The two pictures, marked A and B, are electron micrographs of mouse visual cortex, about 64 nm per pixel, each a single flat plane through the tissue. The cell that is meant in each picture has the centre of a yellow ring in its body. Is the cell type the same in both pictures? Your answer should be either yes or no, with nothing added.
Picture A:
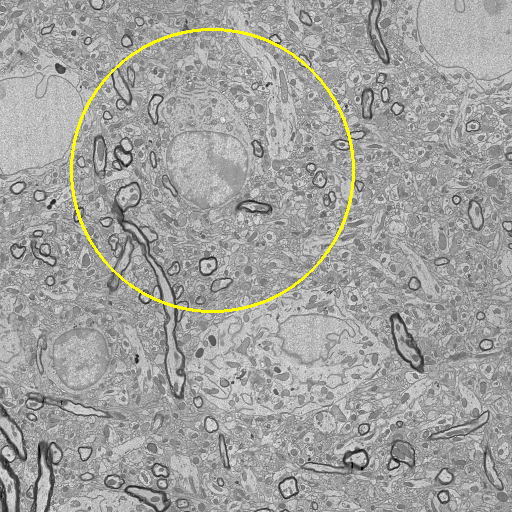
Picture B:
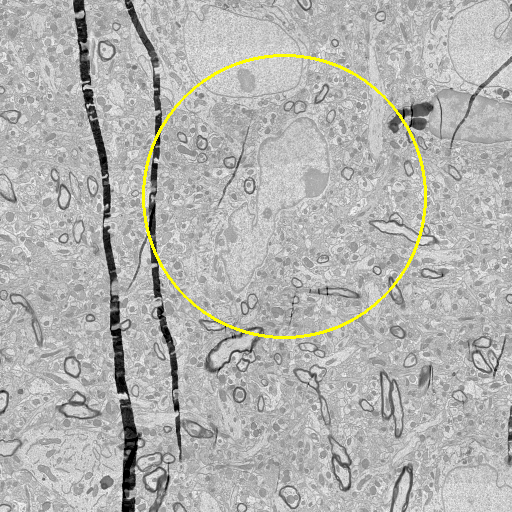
no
